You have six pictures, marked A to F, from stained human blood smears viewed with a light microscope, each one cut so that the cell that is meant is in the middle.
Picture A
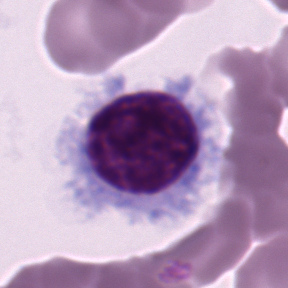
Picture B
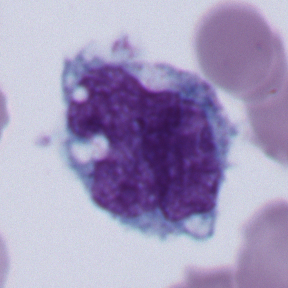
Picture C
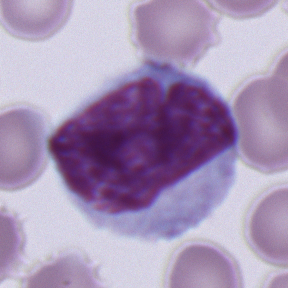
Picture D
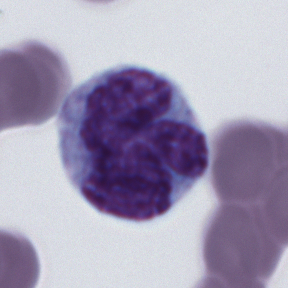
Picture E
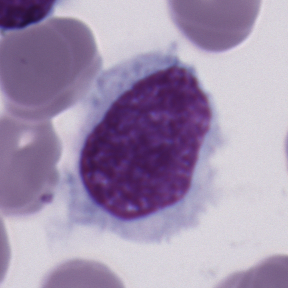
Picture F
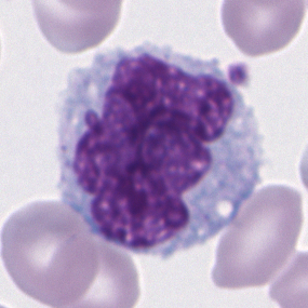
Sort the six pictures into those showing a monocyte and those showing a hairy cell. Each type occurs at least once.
A: hairy cell
B: monocyte
C: monocyte
D: monocyte
E: hairy cell
F: monocyte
